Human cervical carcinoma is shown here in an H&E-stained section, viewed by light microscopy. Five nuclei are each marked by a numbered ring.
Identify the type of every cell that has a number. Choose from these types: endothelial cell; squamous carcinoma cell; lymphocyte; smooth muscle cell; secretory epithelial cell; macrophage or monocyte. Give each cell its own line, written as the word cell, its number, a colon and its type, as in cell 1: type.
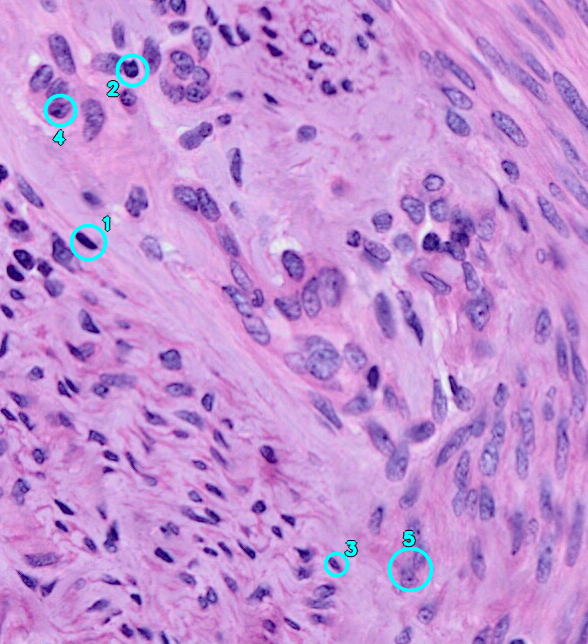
cell 1: lymphocyte
cell 2: lymphocyte
cell 3: smooth muscle cell
cell 4: endothelial cell
cell 5: smooth muscle cell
